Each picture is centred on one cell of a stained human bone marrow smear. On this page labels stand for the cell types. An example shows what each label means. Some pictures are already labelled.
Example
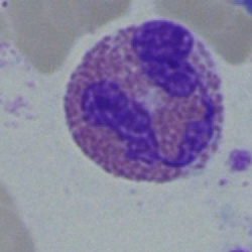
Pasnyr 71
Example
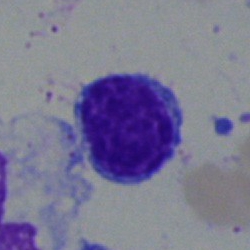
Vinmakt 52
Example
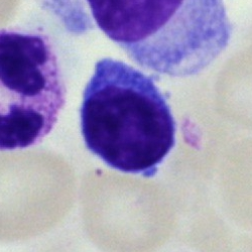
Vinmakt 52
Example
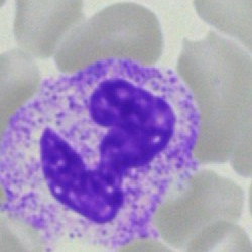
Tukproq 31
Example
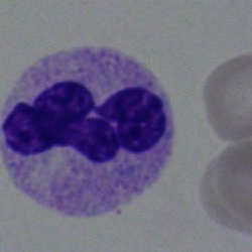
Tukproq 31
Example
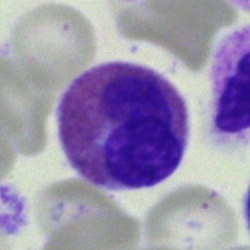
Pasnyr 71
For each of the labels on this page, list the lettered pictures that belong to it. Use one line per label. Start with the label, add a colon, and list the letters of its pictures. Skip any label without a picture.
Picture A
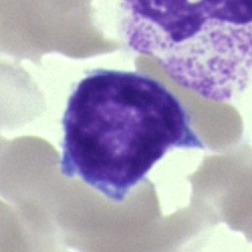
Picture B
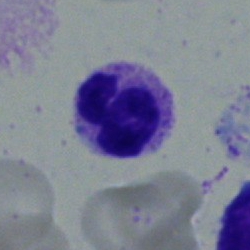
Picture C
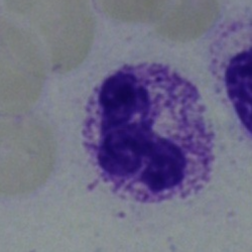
Vinmakt 52: A
Tukproq 31: B, C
